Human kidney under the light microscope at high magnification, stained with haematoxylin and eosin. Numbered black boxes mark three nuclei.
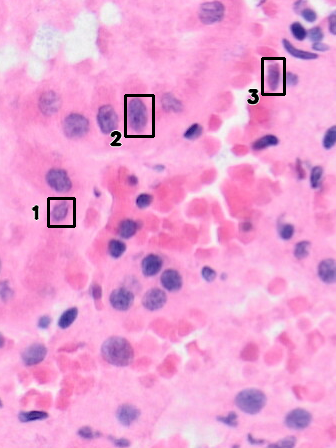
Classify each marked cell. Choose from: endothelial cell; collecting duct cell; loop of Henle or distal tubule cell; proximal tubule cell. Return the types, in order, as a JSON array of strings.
["proximal tubule cell", "proximal tubule cell", "endothelial cell"]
